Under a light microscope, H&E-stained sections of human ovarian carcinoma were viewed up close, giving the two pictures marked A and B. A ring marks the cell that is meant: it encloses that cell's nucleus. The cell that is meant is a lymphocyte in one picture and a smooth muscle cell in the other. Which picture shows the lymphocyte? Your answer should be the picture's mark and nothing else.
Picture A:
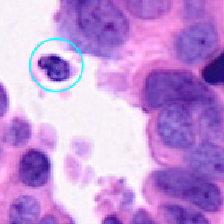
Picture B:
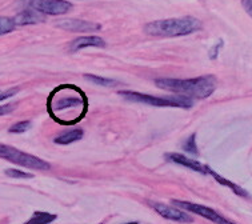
A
